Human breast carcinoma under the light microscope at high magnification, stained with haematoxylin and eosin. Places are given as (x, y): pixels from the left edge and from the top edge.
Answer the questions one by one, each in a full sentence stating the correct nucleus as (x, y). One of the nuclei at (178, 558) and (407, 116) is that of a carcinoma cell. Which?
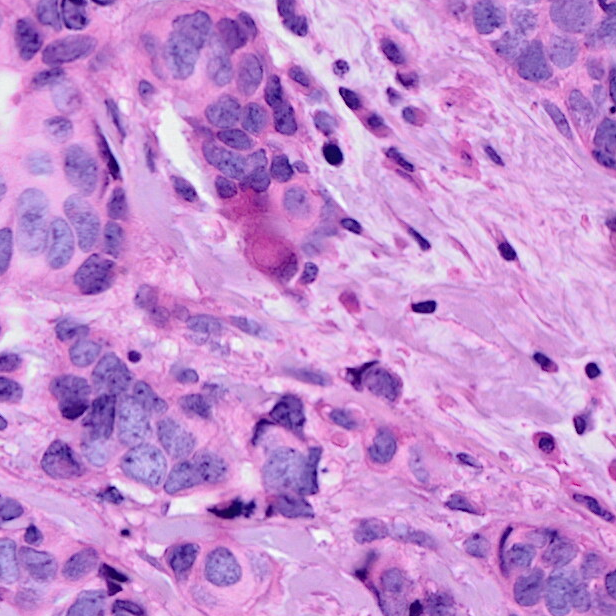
Heads up, the nucleus at (178, 558) is the one that belongs to a carcinoma cell.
